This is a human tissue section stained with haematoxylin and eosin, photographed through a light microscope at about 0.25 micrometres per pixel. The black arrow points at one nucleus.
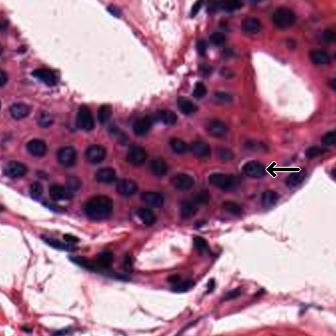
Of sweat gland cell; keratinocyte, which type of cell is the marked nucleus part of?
sweat gland cell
